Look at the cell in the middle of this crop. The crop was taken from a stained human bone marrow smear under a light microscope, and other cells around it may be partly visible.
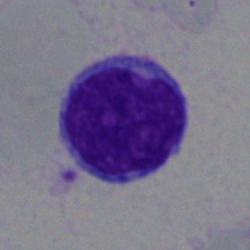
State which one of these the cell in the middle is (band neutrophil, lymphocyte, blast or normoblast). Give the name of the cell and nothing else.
lymphocyte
